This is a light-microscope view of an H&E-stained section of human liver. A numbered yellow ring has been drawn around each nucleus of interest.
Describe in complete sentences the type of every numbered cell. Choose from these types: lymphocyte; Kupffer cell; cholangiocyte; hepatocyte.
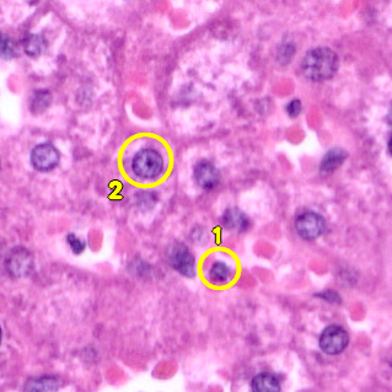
Cell 1 is a lymphocyte and cell 2 is a hepatocyte.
